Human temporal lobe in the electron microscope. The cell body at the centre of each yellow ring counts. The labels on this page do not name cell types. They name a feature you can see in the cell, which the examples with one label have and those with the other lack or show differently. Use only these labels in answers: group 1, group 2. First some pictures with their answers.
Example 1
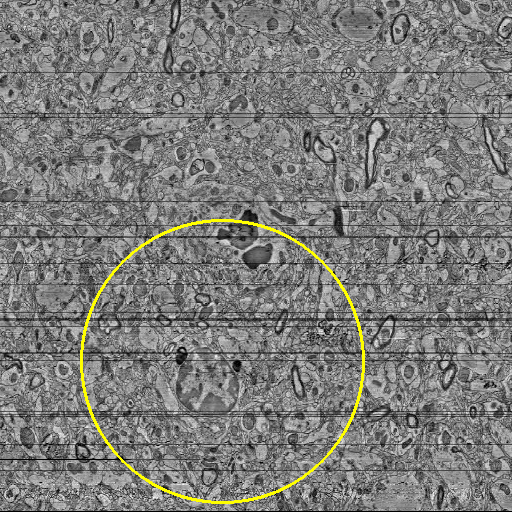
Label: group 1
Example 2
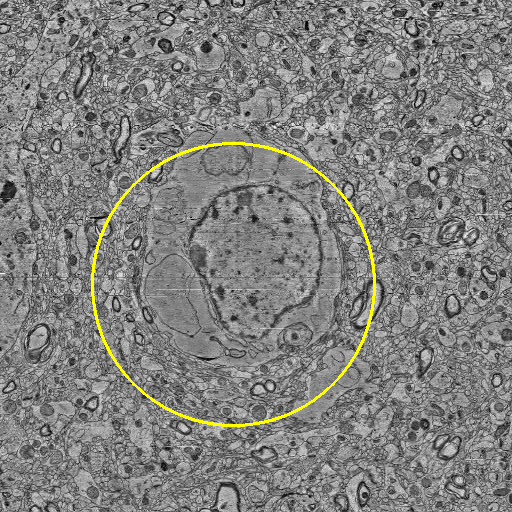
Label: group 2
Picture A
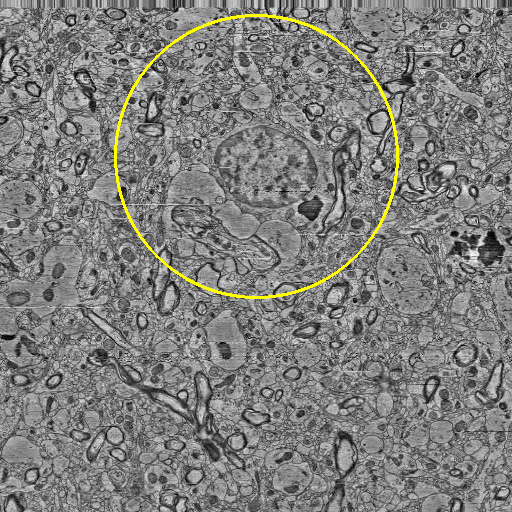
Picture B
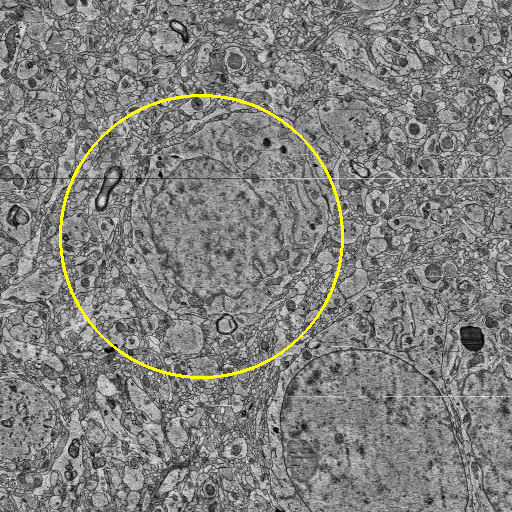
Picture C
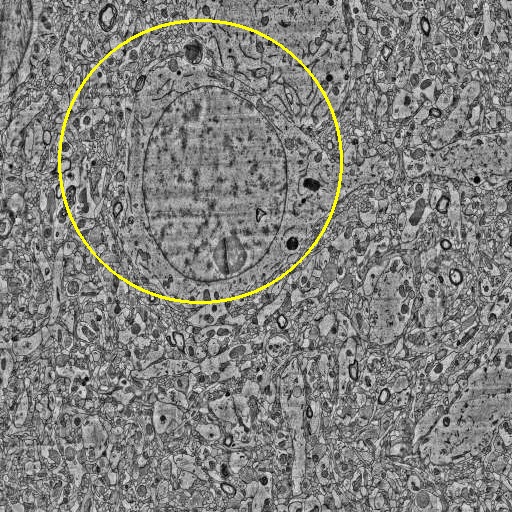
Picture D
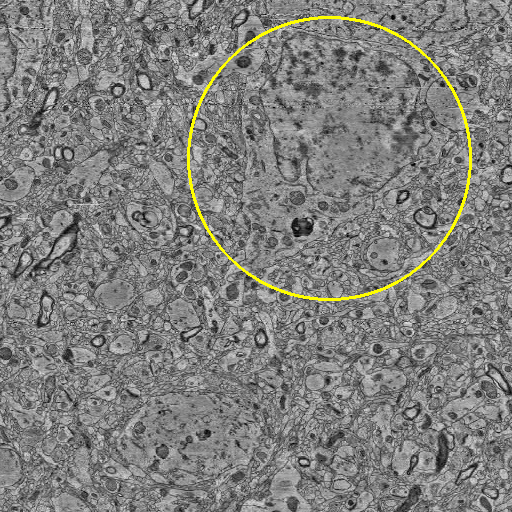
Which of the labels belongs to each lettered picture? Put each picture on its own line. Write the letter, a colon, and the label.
A: group 1
B: group 2
C: group 1
D: group 2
